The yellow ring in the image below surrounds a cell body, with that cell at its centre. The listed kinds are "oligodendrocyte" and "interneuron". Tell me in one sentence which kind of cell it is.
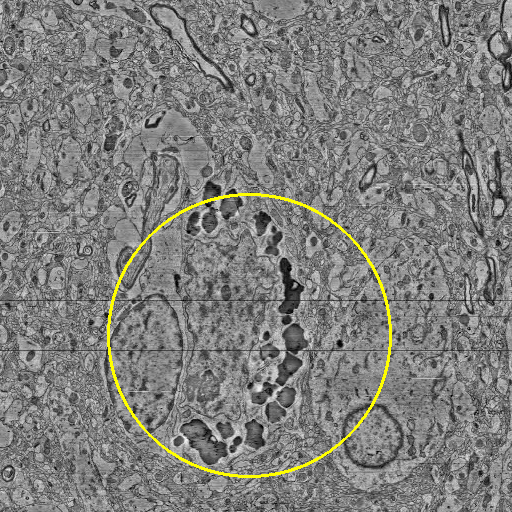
The centre of the ring holds an interneuron.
